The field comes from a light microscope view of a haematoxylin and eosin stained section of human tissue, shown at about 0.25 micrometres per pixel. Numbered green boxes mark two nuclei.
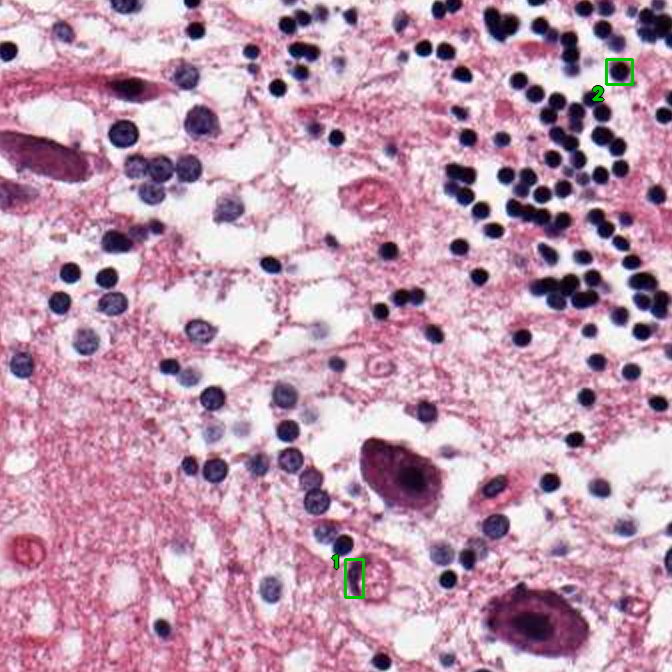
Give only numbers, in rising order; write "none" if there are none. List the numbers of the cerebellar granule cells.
2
